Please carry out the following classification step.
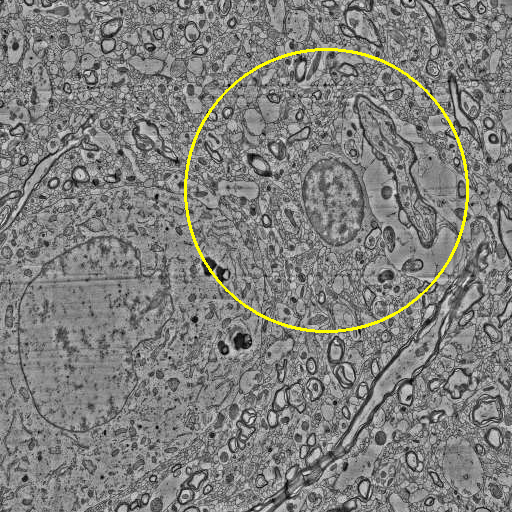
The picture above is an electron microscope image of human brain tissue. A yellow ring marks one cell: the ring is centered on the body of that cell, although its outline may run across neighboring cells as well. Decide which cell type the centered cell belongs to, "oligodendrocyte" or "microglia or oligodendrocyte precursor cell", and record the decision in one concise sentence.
The cell centered in the yellow ring is an oligodendrocyte.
